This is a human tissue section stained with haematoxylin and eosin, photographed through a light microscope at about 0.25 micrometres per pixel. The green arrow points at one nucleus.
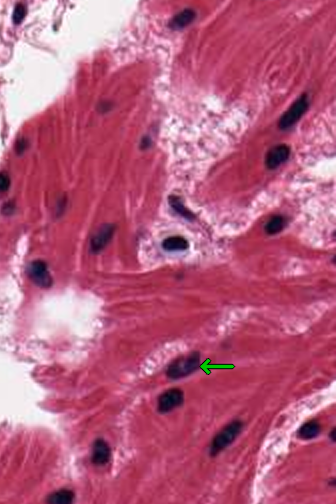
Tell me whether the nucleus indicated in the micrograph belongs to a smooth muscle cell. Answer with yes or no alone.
yes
